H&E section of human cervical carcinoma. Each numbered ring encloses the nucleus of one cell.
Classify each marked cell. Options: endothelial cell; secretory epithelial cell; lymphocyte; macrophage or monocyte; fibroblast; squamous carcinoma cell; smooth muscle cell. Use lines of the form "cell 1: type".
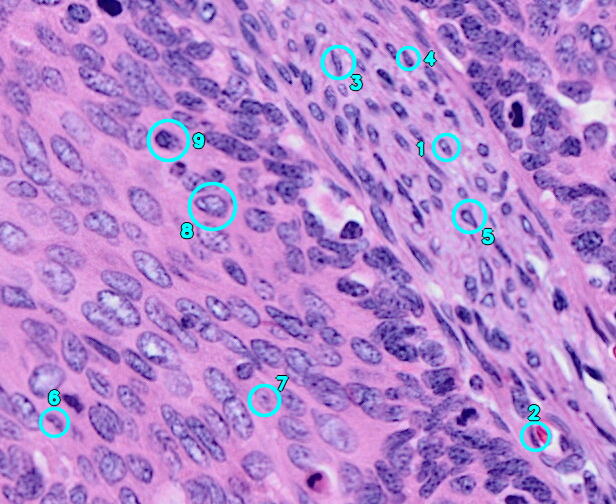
cell 1: smooth muscle cell
cell 2: endothelial cell
cell 3: smooth muscle cell
cell 4: smooth muscle cell
cell 5: smooth muscle cell
cell 6: squamous carcinoma cell
cell 7: squamous carcinoma cell
cell 8: squamous carcinoma cell
cell 9: squamous carcinoma cell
